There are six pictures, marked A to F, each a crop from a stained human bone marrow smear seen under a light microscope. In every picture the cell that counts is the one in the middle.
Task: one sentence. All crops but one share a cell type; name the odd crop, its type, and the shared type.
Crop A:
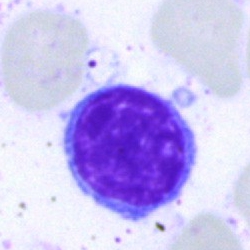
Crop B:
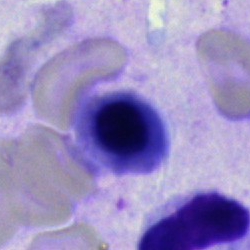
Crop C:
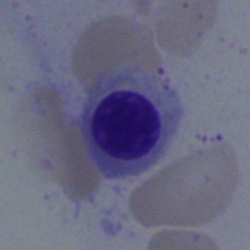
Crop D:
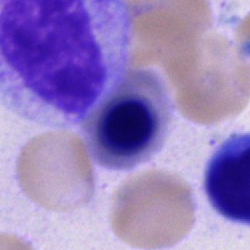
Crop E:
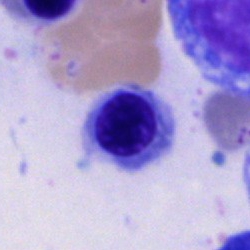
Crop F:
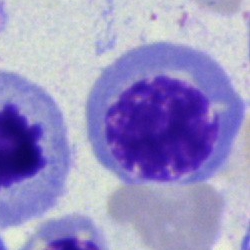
In this set the other crops all show erythroblasts, and crop A shows a lymphocyte.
